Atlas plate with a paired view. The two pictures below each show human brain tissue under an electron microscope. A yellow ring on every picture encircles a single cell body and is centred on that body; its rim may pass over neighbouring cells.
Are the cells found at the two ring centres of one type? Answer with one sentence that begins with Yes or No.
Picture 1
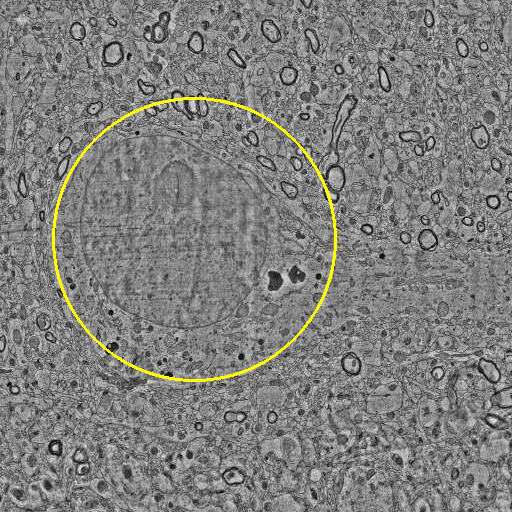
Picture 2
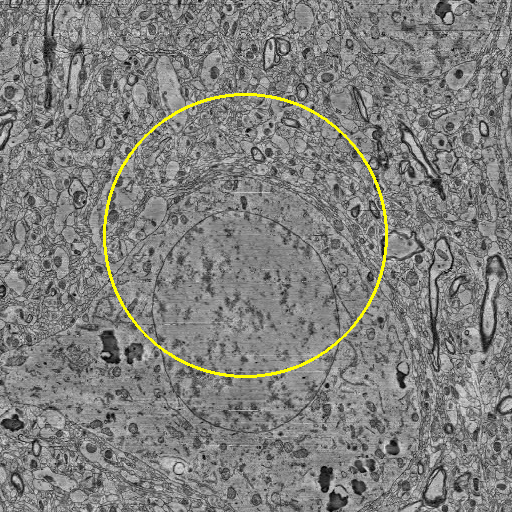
Yes, the two cells lying at the centres of the rings share a single type.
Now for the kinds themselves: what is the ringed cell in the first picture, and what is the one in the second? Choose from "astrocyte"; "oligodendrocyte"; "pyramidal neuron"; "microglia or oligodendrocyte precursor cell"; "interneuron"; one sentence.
Each of the two rings surrounds a pyramidal neuron.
